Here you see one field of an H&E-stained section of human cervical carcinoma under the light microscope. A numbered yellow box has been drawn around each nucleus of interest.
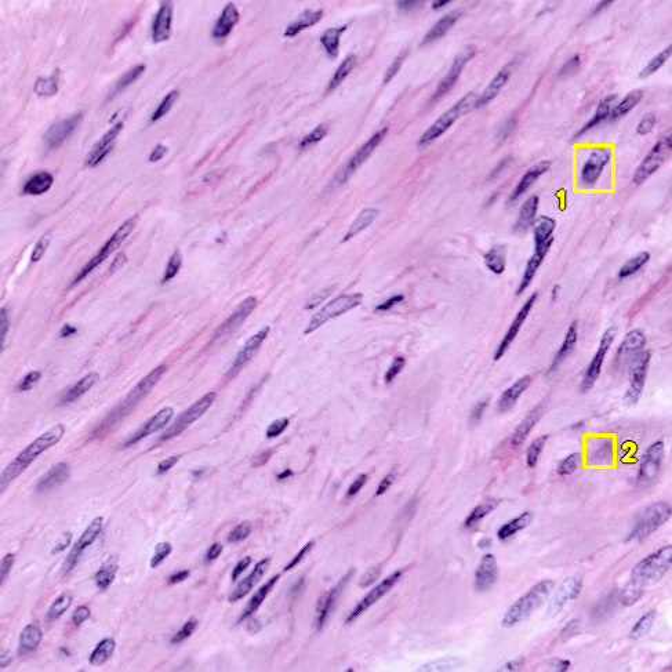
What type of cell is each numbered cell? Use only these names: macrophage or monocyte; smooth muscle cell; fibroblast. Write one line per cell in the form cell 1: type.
cell 1: fibroblast
cell 2: smooth muscle cell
